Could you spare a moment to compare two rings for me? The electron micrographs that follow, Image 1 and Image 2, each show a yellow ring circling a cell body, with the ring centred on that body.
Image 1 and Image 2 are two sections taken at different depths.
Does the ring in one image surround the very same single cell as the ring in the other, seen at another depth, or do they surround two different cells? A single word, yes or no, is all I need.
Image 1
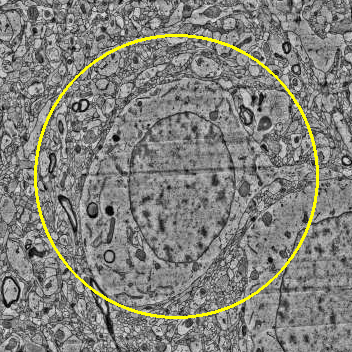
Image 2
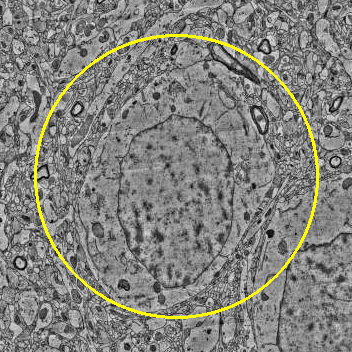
yes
